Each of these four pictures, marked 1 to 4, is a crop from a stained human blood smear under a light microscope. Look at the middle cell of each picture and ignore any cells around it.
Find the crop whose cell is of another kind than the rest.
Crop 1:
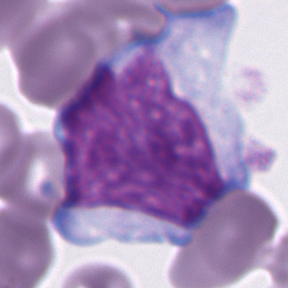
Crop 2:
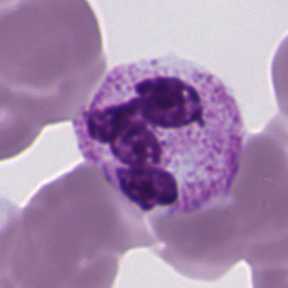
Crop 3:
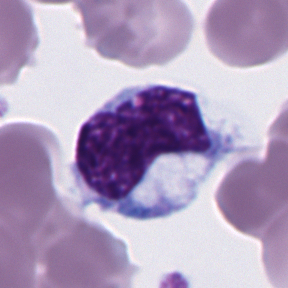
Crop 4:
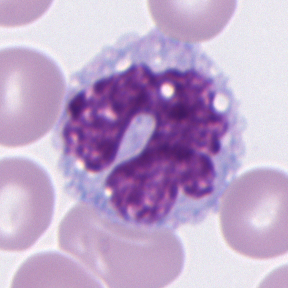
2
